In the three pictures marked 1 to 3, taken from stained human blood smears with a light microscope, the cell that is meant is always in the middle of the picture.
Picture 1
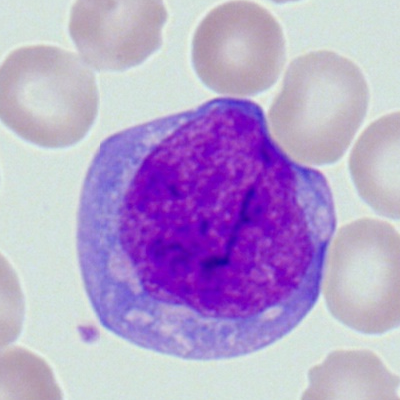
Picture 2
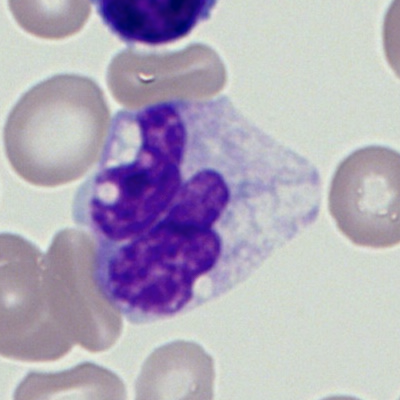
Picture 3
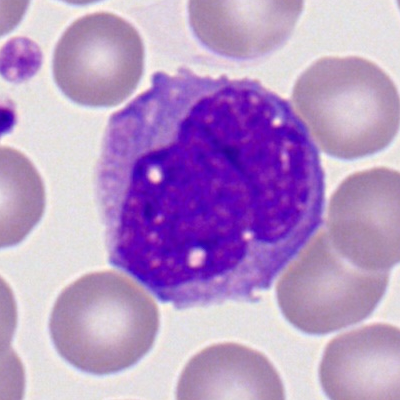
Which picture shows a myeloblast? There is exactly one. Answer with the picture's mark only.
1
